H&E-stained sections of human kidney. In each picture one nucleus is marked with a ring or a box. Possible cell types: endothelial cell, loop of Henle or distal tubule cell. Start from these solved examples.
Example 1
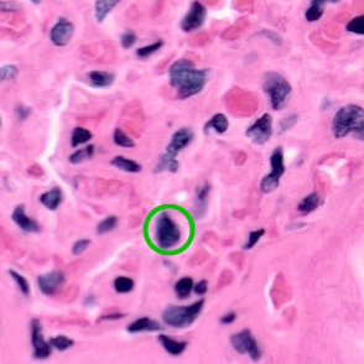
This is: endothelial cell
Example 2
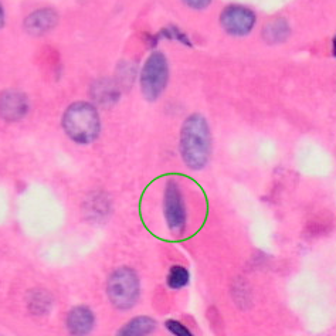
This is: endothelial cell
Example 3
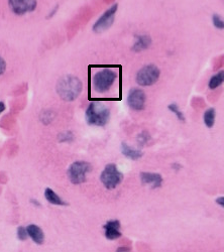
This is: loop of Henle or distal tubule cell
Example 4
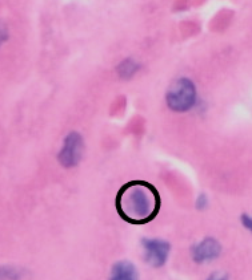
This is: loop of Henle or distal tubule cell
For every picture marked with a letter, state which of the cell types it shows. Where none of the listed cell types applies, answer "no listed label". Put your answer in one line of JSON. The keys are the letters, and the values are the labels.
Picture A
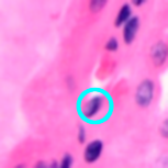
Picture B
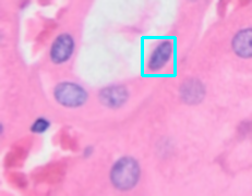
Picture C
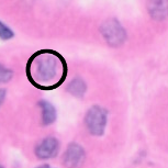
{"A": "endothelial cell", "B": "loop of Henle or distal tubule cell", "C": "loop of Henle or distal tubule cell"}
